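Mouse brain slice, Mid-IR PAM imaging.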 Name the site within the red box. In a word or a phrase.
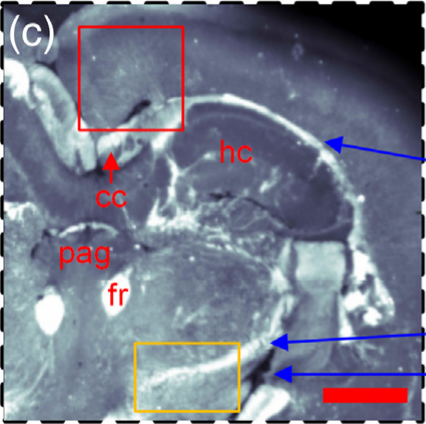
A: Retrosplenial area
